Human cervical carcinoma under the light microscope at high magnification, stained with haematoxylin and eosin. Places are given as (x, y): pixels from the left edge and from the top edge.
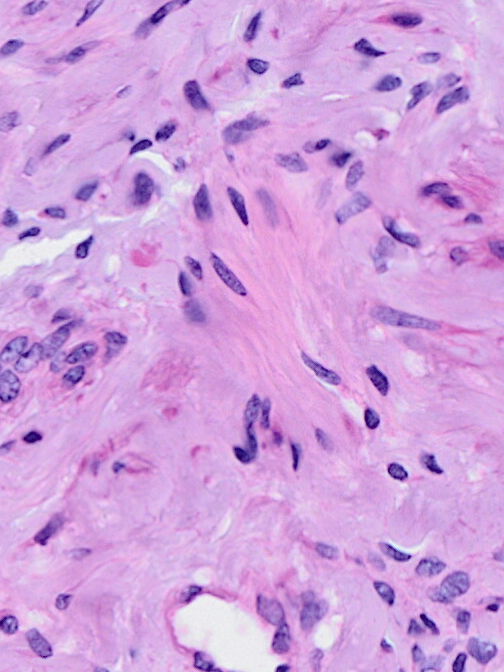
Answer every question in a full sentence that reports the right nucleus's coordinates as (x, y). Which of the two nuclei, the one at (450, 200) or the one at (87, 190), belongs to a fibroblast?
The nucleus whose position is (87, 190) belongs to a fibroblast.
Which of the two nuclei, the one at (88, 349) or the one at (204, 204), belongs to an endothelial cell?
The one nucleus of the two that belongs to an endothelial cell is at (88, 349).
